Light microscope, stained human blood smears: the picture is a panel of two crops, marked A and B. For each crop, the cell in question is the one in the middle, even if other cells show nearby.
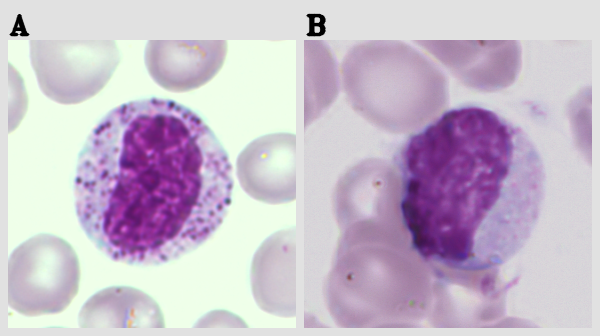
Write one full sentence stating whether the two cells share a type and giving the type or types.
Yes, metamyelocytes are the central cells in the two crops.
